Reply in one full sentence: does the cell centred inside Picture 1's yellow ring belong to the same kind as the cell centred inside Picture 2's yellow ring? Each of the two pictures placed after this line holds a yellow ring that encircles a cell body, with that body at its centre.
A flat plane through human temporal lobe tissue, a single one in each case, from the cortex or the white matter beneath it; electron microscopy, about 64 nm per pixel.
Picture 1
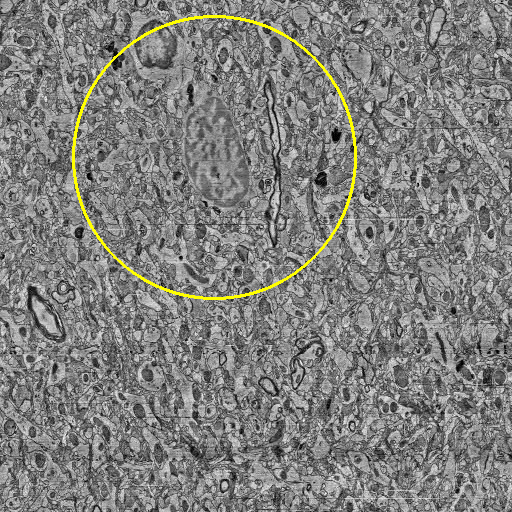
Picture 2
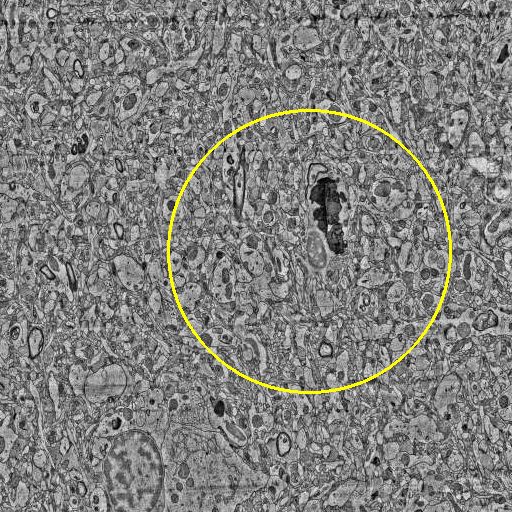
Yes, the ring-centred cells in Picture 1 and Picture 2 are of one and the same kind.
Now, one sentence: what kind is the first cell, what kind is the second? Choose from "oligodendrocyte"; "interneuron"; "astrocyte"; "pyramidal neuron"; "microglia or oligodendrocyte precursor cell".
Both the first and the second picture show an oligodendrocyte in the ring.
